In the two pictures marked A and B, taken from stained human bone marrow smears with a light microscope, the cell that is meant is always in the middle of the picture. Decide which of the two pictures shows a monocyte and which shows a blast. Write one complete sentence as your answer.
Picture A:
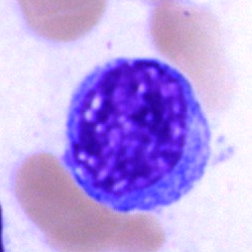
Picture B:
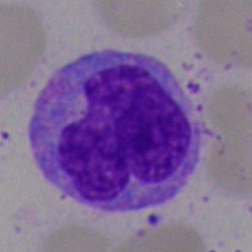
Picture A shows a blast and picture B shows a monocyte.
